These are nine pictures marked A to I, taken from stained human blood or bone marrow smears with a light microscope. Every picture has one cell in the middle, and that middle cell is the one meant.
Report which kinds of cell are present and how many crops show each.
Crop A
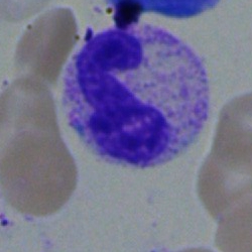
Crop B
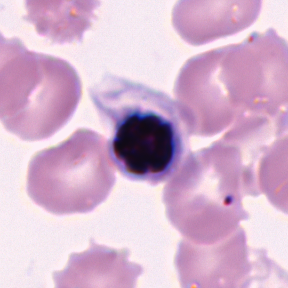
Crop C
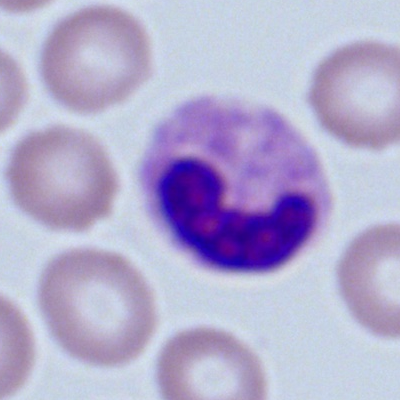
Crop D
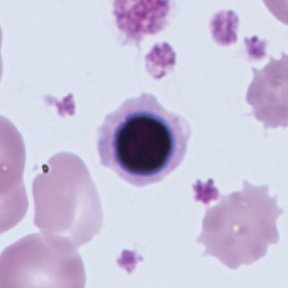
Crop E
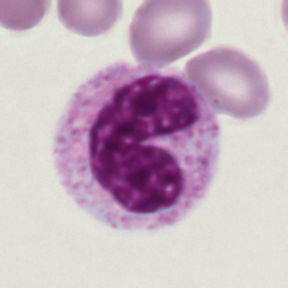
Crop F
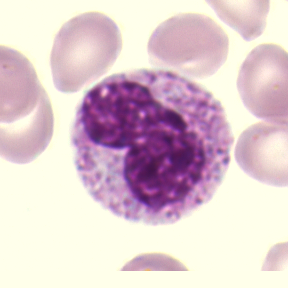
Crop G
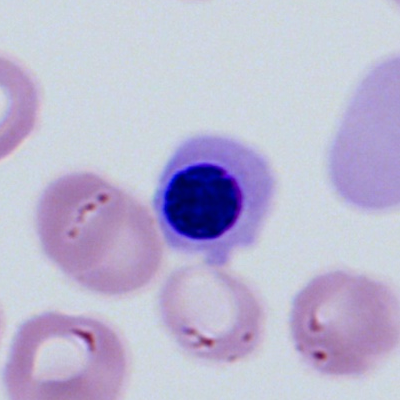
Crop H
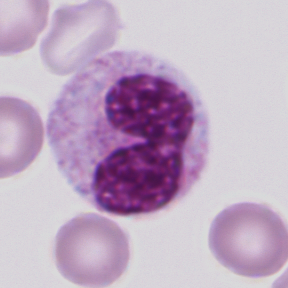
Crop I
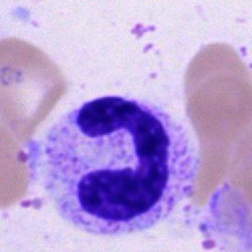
band neutrophil: 6
erythroblast: 3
